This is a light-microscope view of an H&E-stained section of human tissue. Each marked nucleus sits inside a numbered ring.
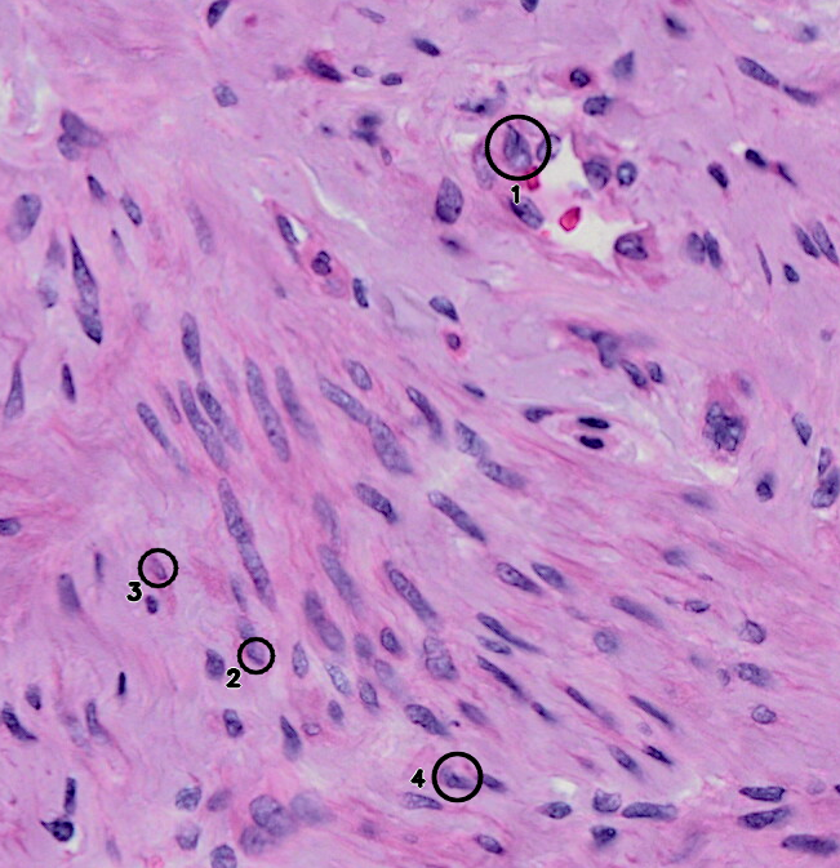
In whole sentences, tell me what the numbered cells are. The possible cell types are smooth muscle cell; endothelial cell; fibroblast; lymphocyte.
Cell 1 is an endothelial cell, cell 2 is a smooth muscle cell, cell 3 is a smooth muscle cell and cell 4 is a smooth muscle cell.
